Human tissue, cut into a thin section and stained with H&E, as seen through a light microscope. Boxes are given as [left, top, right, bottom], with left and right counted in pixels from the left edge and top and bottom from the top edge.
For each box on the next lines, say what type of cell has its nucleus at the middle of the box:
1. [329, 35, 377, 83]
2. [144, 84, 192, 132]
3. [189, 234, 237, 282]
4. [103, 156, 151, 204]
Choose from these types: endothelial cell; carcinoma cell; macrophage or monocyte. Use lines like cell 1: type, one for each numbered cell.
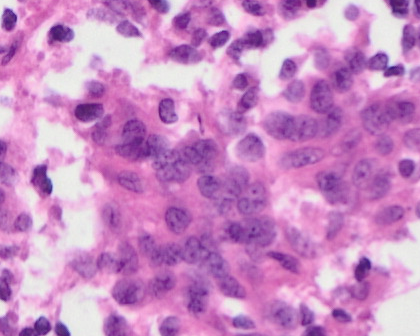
cell 1: carcinoma cell
cell 2: macrophage or monocyte
cell 3: carcinoma cell
cell 4: endothelial cell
